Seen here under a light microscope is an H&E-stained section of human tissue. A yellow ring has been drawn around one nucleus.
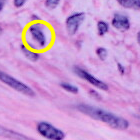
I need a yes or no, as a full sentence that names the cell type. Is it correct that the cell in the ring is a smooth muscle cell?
Yes, a smooth muscle cell is the correct identification for the cell in the ring.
